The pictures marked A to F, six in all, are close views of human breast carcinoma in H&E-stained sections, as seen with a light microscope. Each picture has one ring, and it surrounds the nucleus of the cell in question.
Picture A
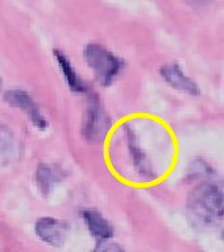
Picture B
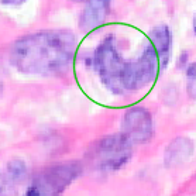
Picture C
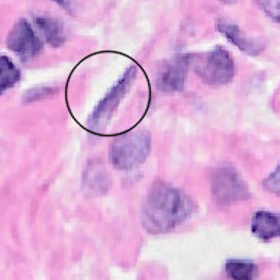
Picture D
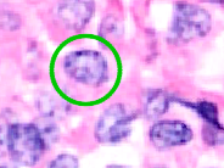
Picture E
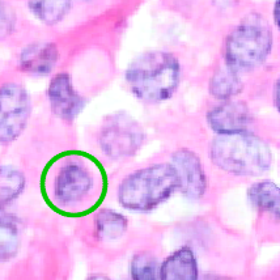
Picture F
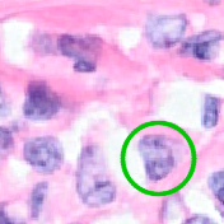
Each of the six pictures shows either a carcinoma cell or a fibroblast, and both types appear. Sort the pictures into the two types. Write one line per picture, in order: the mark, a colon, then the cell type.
A: fibroblast
B: carcinoma cell
C: fibroblast
D: carcinoma cell
E: carcinoma cell
F: carcinoma cell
